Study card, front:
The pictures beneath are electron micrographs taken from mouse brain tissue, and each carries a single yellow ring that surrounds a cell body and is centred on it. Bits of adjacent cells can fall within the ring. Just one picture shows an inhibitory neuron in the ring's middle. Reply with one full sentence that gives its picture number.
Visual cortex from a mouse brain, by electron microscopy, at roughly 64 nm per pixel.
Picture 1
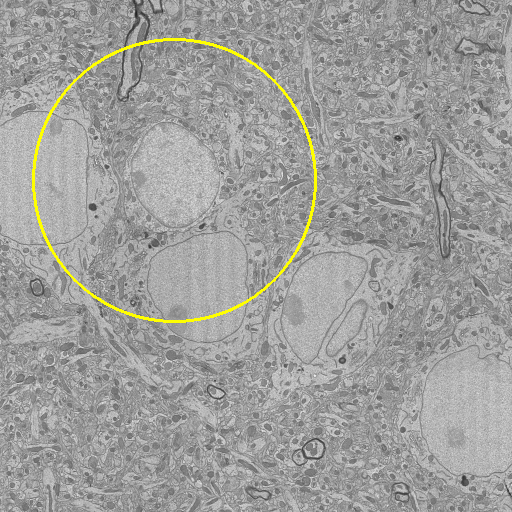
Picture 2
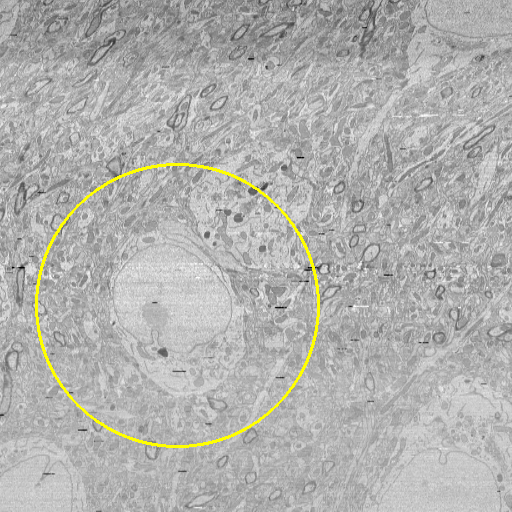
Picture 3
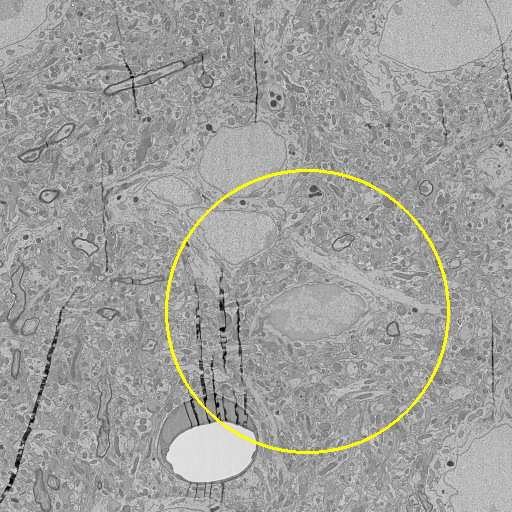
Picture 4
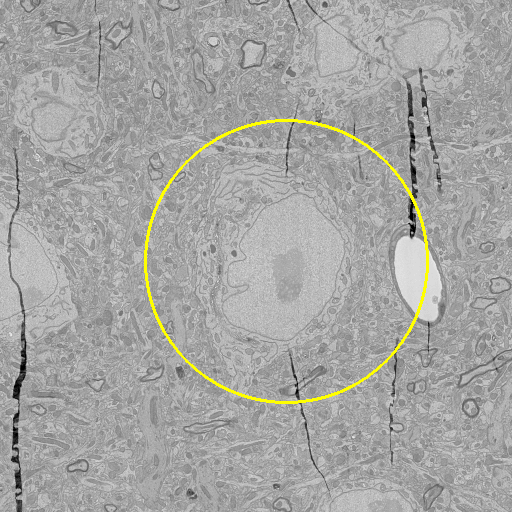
Picture 4 is the one whose ring has the requested cell at its centre.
